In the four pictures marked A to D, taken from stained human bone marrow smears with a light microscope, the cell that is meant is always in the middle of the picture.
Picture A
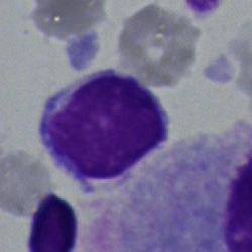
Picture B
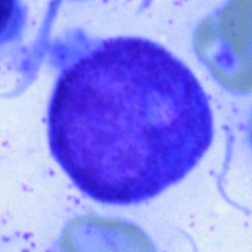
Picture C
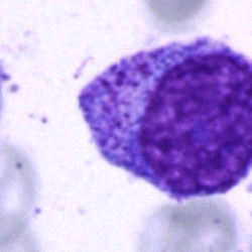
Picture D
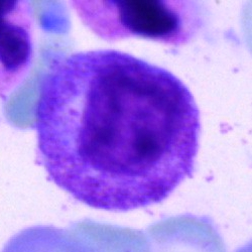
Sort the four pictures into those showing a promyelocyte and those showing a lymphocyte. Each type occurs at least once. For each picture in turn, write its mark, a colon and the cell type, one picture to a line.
A: lymphocyte
B: promyelocyte
C: promyelocyte
D: promyelocyte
